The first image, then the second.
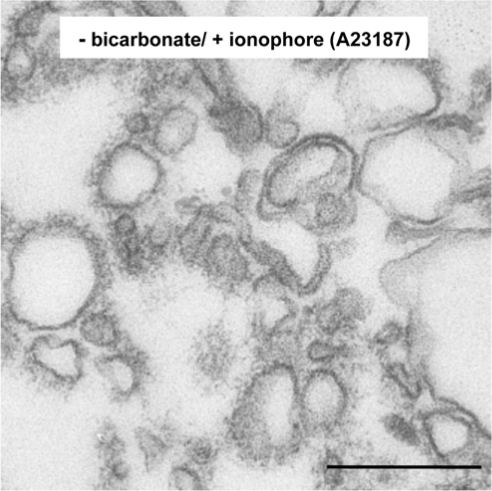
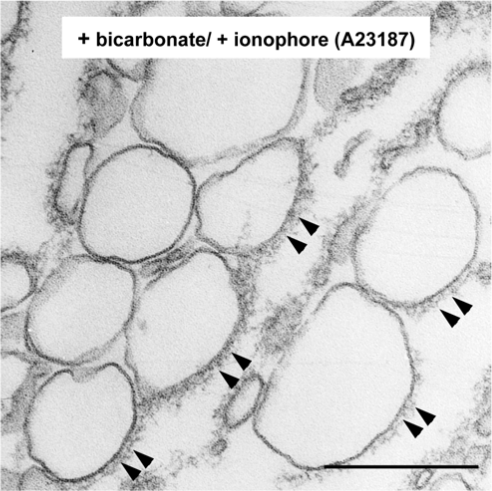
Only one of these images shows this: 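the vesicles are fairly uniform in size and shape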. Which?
the second image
